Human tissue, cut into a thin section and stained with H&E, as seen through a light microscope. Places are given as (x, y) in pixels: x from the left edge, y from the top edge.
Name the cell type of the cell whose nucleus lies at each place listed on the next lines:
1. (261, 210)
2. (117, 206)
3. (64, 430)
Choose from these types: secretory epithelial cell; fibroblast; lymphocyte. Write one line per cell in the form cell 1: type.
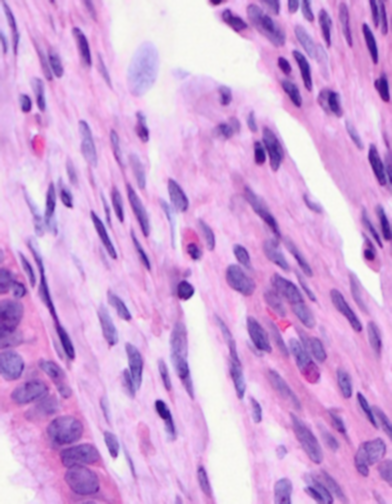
cell 1: fibroblast
cell 2: fibroblast
cell 3: secretory epithelial cell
